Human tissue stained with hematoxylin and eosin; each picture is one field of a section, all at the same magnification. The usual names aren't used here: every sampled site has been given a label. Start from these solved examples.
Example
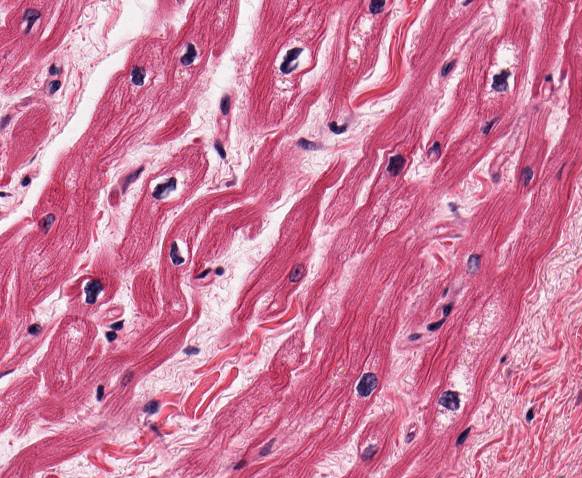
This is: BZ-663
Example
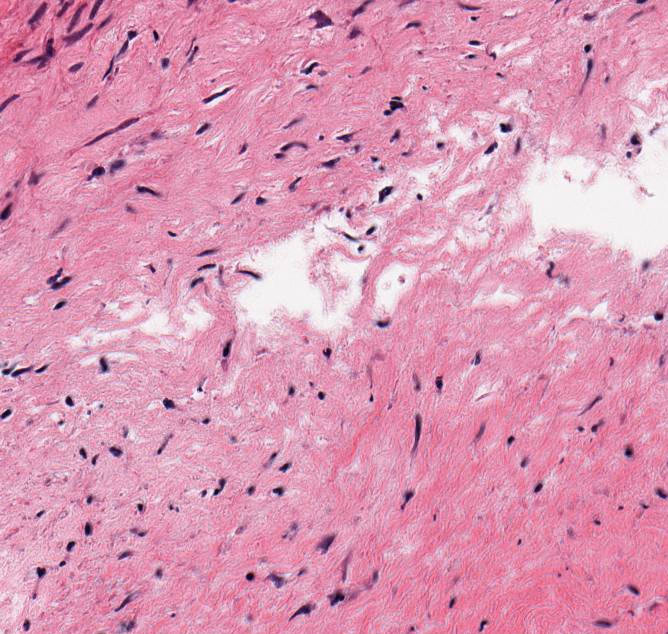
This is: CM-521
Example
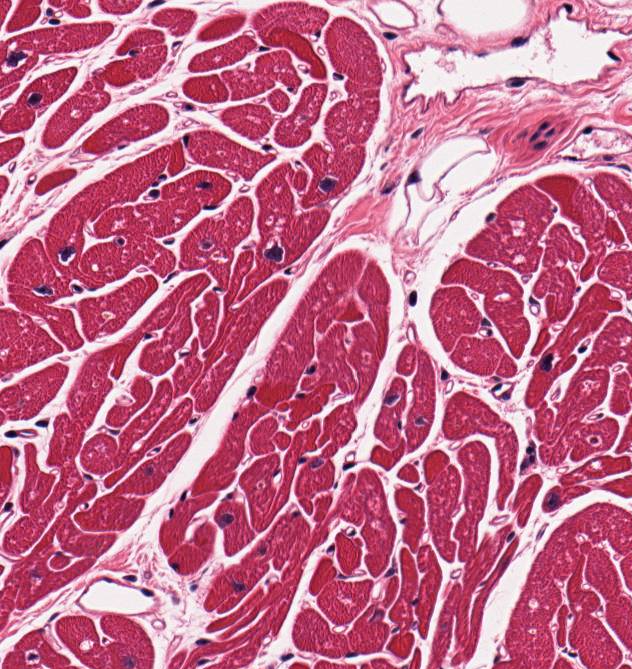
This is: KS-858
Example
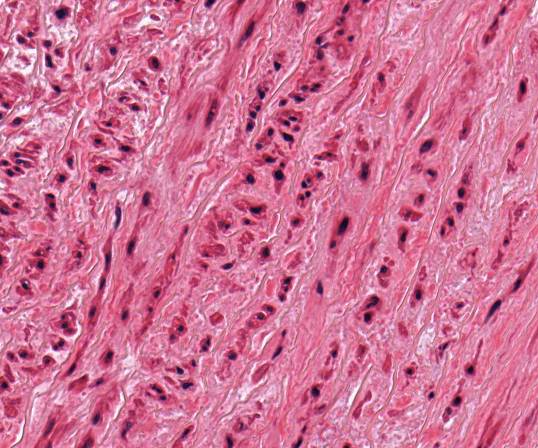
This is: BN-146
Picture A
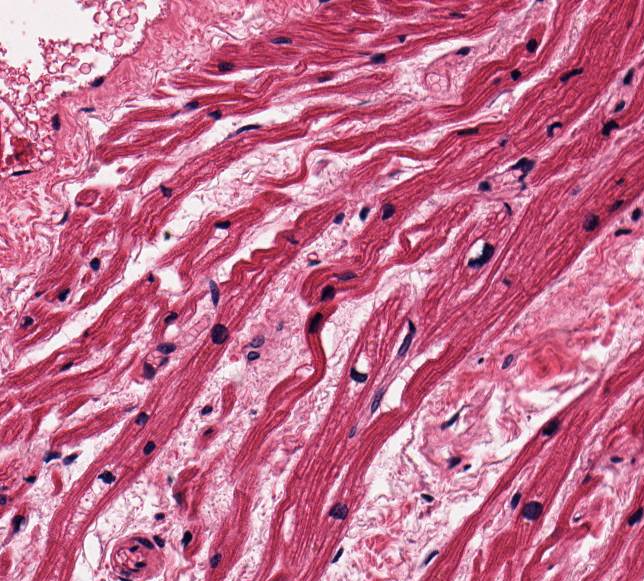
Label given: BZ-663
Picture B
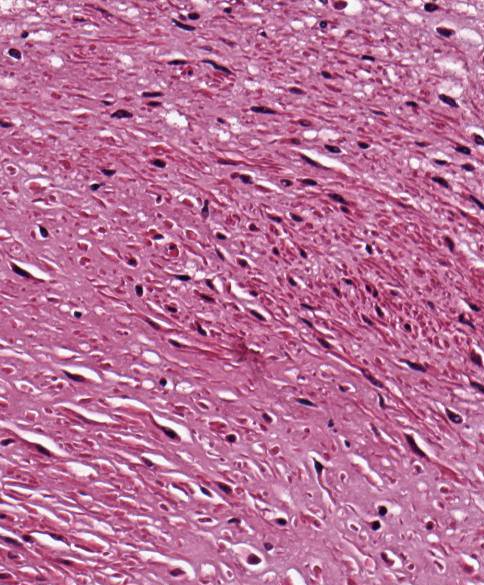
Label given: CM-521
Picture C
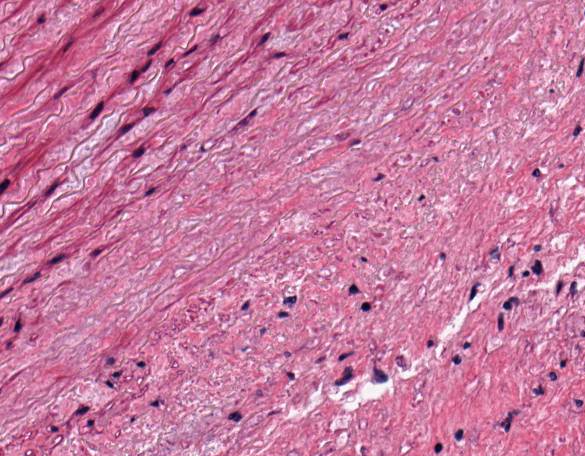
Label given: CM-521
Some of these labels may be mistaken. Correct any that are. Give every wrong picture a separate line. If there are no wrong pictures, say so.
C: not CM-521 but BN-146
